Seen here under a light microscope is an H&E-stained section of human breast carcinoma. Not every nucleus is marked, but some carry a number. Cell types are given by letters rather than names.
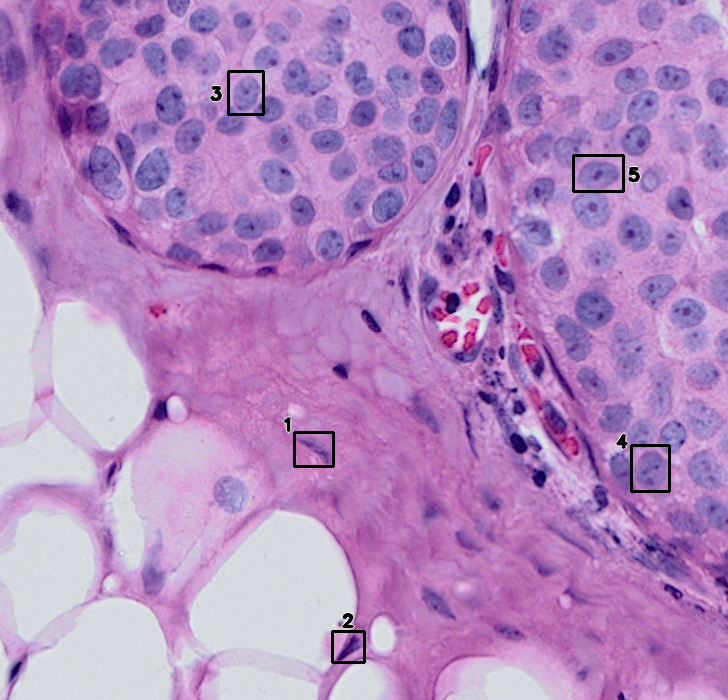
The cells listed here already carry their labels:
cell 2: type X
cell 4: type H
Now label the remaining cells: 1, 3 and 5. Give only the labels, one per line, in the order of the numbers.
type X
type H
type H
